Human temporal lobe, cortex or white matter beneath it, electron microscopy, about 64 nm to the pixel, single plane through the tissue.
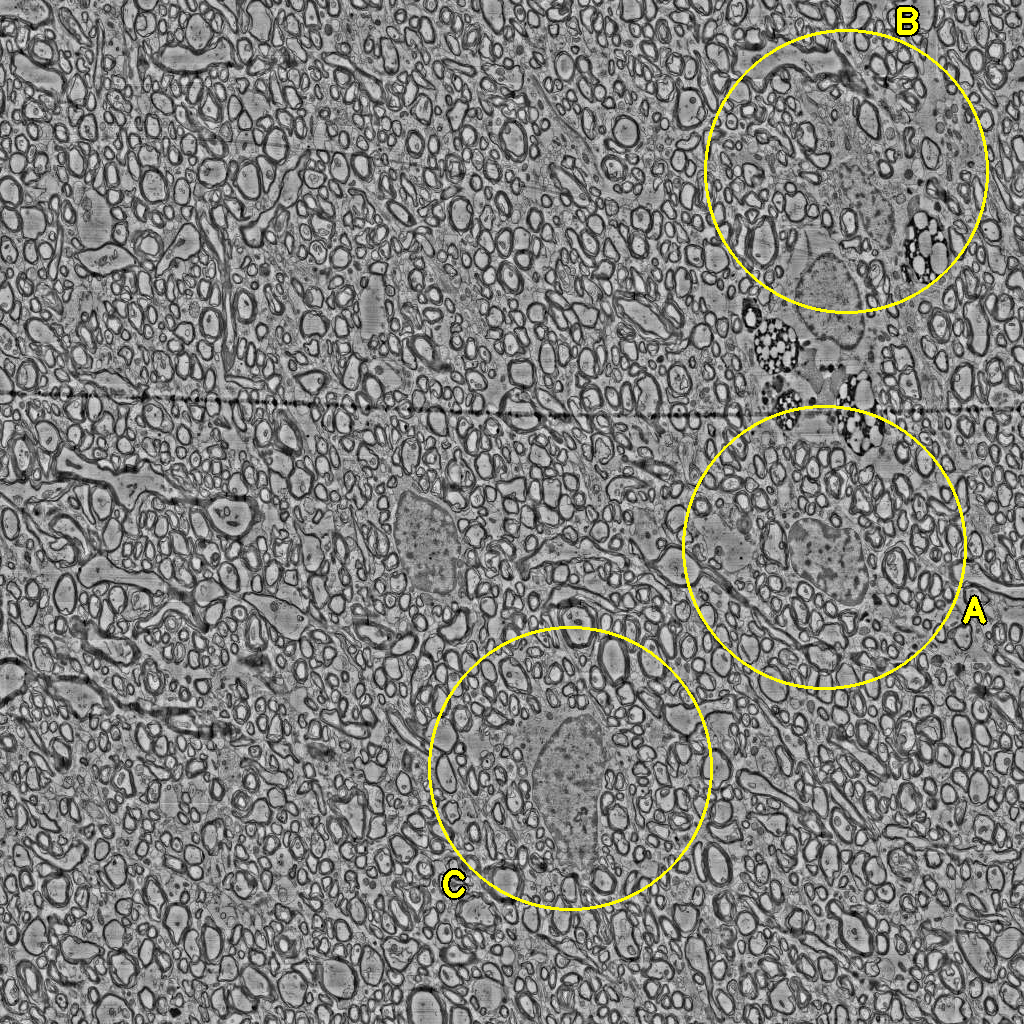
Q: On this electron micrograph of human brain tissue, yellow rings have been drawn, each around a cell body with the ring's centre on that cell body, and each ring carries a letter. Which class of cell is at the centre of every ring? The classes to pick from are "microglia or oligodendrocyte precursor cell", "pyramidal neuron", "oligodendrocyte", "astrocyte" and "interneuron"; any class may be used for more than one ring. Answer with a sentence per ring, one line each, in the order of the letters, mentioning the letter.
The centre of ring A is occupied by a microglial cell or oligodendrocyte precursor cell.
The centre of ring B is occupied by an astrocyte.
The centre of ring C is occupied by an oligodendrocyte.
